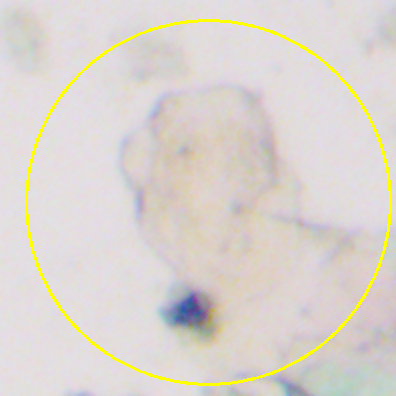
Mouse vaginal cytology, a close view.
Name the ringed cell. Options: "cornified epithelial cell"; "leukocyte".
cornified epithelial cell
